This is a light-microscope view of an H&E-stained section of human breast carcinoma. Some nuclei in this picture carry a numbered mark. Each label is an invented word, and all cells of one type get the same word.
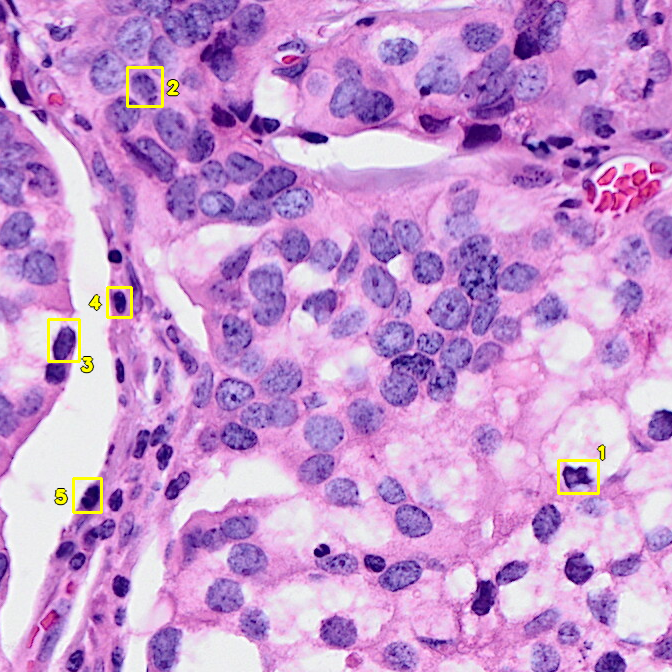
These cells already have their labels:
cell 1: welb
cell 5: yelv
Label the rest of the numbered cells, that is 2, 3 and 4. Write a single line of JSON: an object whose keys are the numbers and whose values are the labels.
{"2": "welb", "3": "welb", "4": "yelv"}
